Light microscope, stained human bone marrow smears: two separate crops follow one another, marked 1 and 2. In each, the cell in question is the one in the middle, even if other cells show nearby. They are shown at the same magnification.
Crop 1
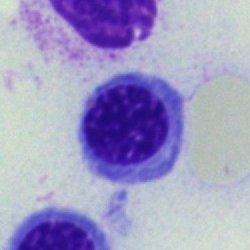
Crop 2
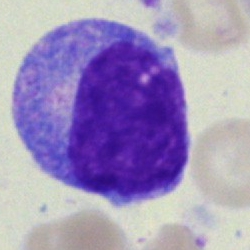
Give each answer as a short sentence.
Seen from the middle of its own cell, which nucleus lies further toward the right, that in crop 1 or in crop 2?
Seen within its cell, the nucleus in crop 2 lies further toward the right.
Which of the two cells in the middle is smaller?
The cell in crop 1 is smaller; the one in crop 2 has about 2.5 times its area.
